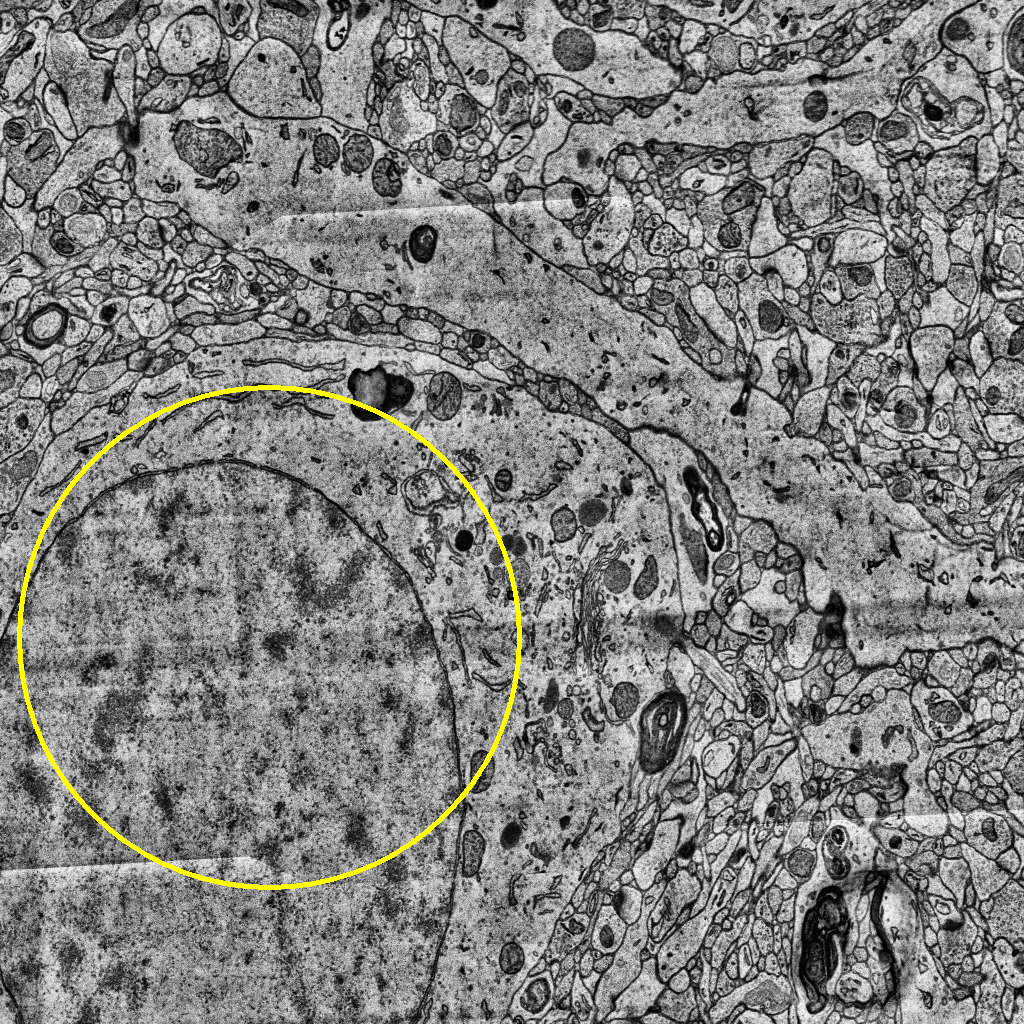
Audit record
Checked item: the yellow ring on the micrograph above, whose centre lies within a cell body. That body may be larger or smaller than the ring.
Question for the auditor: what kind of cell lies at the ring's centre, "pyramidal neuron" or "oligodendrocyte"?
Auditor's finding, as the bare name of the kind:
pyramidal neuron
